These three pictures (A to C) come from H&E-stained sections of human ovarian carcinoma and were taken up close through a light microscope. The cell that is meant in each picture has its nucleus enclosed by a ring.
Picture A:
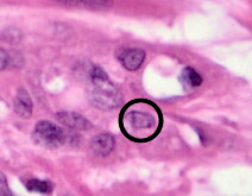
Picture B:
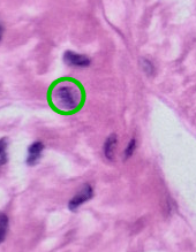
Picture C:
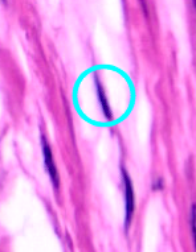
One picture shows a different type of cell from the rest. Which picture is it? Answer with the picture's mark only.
A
